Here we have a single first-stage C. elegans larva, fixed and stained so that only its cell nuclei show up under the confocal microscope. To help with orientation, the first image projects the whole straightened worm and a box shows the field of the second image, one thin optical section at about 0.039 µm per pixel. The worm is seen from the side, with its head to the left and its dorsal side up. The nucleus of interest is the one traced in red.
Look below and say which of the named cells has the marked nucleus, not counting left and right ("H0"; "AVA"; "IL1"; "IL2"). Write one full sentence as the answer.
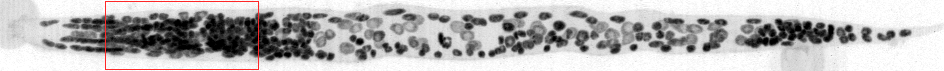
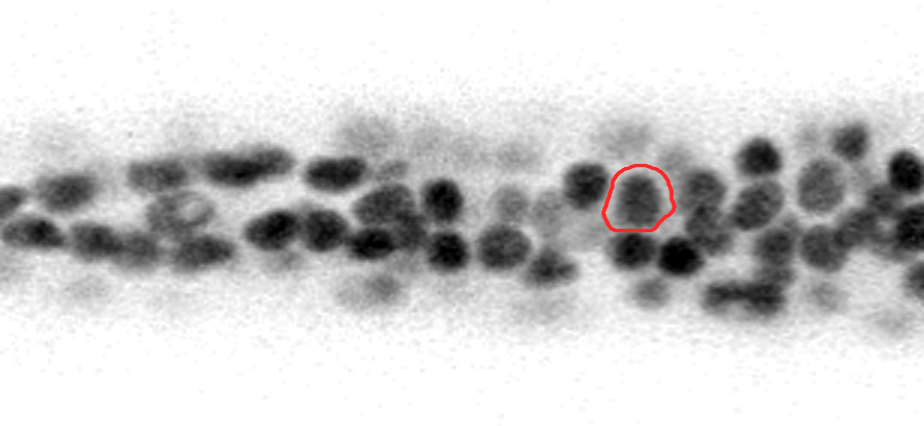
It belongs to AVA, a neuron.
